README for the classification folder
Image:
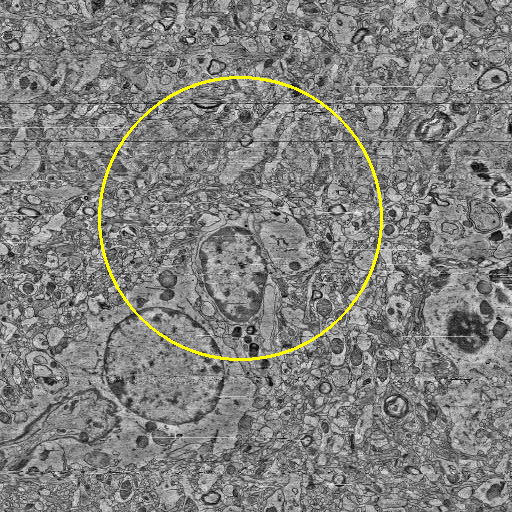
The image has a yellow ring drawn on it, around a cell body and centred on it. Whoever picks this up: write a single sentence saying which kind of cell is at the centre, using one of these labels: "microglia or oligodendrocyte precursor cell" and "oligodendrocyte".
This cell body is that of a microglial cell or oligodendrocyte precursor cell.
